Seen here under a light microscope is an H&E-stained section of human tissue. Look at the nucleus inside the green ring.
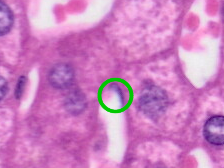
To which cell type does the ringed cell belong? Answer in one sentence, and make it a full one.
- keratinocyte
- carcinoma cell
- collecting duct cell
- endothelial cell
As to its cell type, the ringed cell is an endothelial cell.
